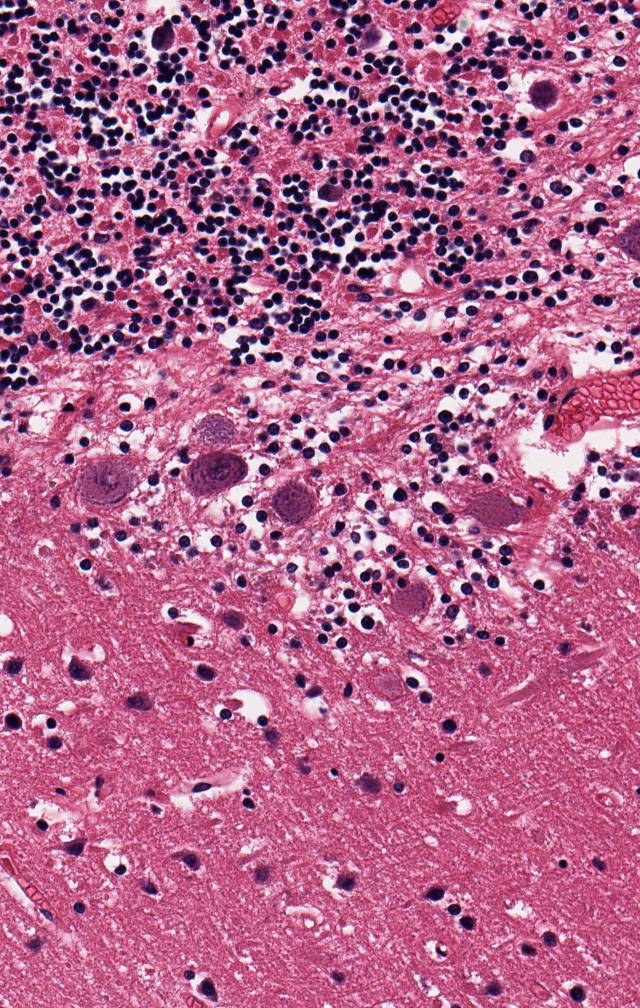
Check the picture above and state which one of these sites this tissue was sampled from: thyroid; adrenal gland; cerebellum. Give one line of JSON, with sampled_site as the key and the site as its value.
{"sampled_site": "cerebellum"}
